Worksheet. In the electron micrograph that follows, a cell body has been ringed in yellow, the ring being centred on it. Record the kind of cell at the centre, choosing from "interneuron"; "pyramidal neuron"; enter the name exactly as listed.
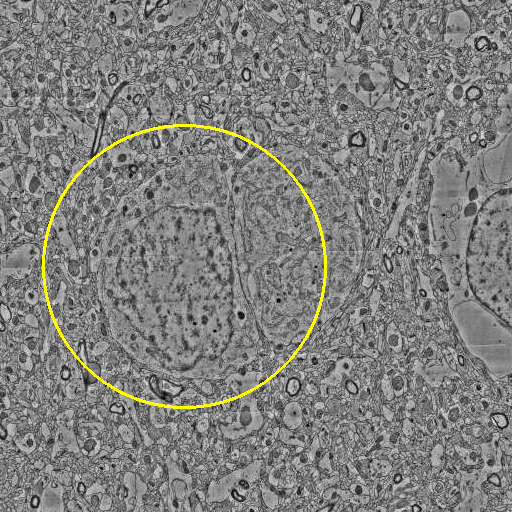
interneuron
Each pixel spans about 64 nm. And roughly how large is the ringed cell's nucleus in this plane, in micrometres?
Roughly 11 by 7 micrometres in this plane, for the nucleus of the ringed cell.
